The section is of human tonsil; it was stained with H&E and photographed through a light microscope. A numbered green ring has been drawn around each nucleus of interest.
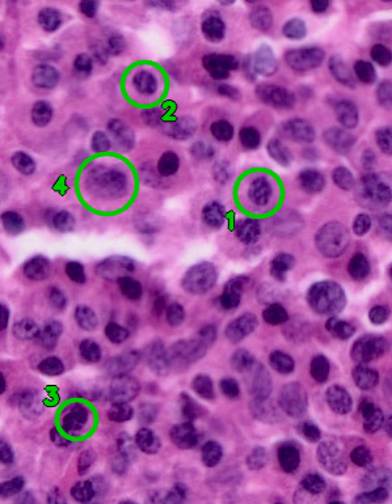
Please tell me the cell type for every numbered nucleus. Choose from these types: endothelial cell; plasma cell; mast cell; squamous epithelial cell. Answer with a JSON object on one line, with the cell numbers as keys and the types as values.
{"1": "plasma cell", "2": "plasma cell", "3": "plasma cell", "4": "squamous epithelial cell"}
